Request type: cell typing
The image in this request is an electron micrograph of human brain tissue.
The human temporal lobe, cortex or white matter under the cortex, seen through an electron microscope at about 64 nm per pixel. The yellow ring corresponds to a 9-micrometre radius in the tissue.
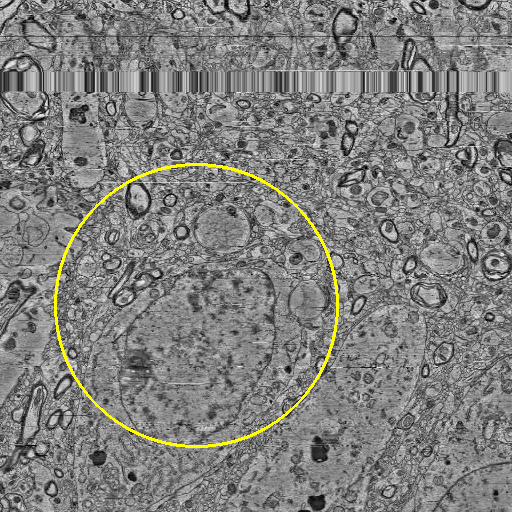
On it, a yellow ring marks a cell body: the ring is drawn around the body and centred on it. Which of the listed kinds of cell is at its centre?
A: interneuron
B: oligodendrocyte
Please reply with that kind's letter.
A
